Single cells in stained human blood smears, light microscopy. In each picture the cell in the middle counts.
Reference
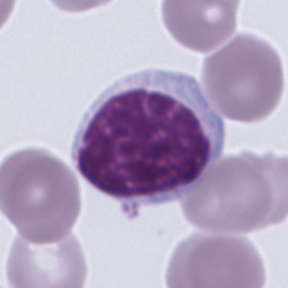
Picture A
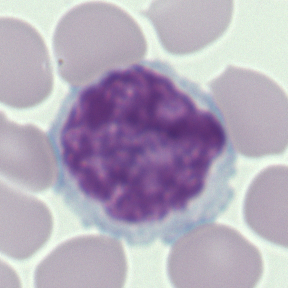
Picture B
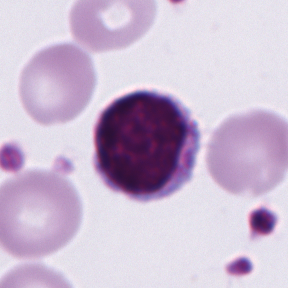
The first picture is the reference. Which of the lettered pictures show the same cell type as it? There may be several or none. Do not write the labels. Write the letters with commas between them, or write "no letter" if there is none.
B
